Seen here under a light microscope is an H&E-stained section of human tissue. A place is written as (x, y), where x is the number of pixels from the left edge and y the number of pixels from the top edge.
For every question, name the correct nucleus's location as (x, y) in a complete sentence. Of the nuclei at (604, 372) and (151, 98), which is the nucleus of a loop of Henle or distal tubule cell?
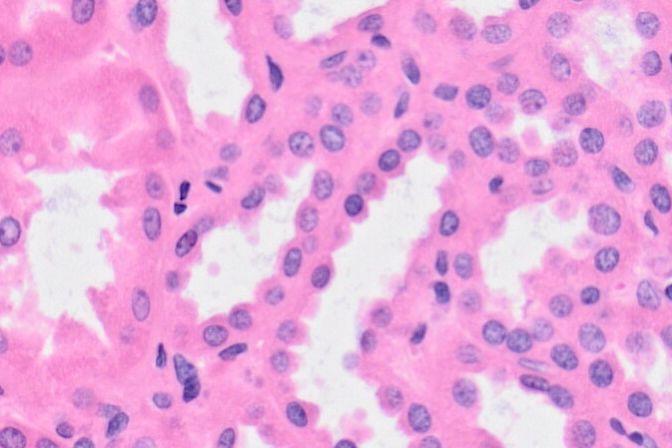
Among the two nuclei, the one found at (604, 372) belongs to a loop of Henle or distal tubule cell.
